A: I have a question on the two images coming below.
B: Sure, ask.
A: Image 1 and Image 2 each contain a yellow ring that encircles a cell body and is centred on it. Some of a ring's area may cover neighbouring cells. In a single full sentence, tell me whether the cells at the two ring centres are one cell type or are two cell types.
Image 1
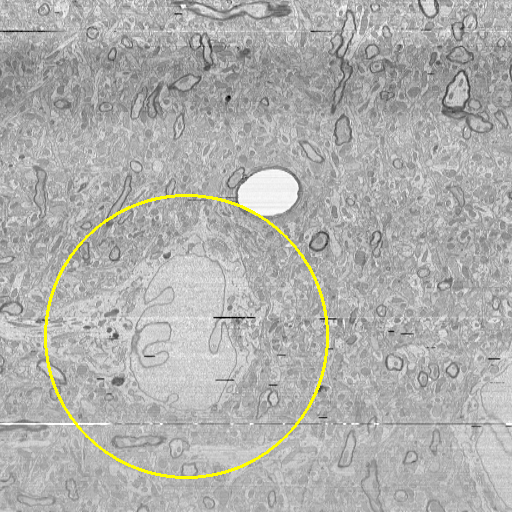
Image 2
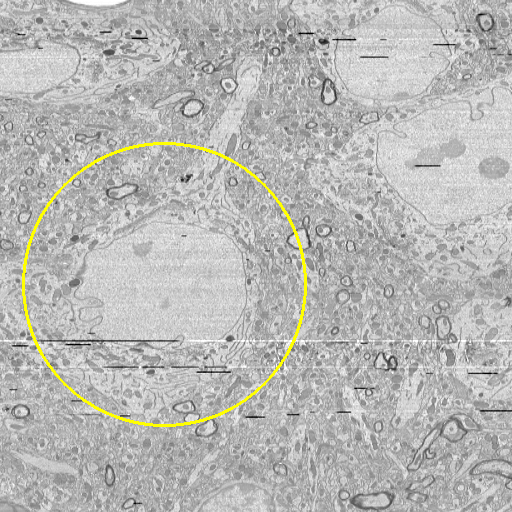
As for the ring-centre cells, the one in Image 1 and the one in Image 2 are one cell type.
